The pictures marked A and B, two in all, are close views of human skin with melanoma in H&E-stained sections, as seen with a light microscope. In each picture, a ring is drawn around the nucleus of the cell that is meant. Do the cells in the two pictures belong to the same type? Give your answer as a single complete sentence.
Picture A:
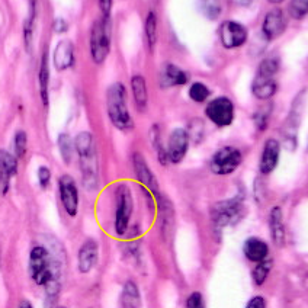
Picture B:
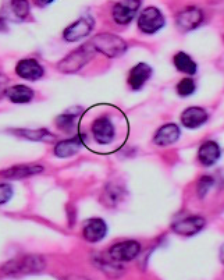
Yes; the cells in both pictures are lymphocytes.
